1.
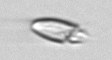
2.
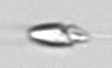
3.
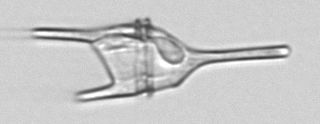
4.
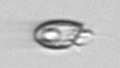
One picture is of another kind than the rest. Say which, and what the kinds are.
Picture 3 shows Tripos; the rest show Kapelodinium.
